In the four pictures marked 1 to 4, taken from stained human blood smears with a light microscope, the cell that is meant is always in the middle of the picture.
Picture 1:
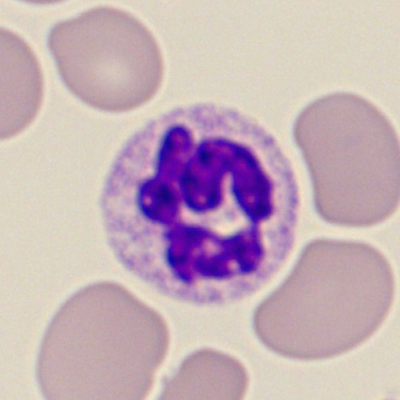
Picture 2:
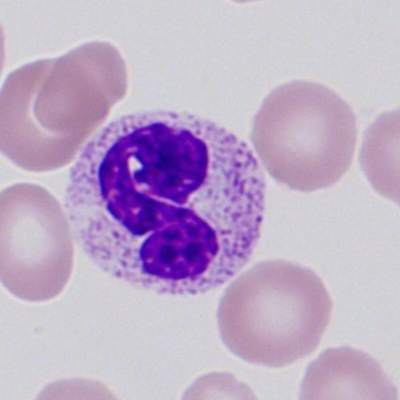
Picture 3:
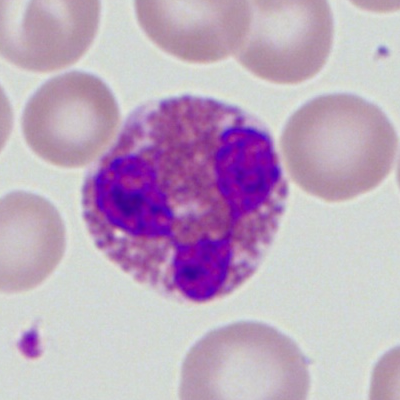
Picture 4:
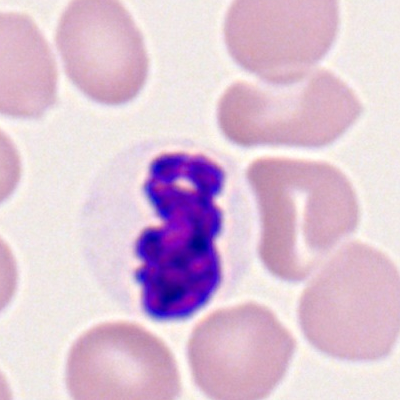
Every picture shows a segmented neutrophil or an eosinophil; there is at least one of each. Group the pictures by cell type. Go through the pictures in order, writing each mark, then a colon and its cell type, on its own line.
1: segmented neutrophil
2: segmented neutrophil
3: eosinophil
4: segmented neutrophil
